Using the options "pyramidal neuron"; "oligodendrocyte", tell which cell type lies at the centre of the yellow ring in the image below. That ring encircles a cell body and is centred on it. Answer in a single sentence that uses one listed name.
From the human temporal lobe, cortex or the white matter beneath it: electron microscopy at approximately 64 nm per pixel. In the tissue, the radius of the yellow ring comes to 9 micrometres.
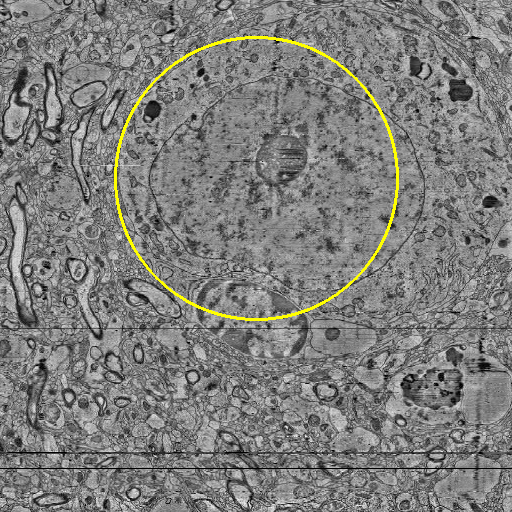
At the centre of the yellow ring lies the body of a pyramidal neuron.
